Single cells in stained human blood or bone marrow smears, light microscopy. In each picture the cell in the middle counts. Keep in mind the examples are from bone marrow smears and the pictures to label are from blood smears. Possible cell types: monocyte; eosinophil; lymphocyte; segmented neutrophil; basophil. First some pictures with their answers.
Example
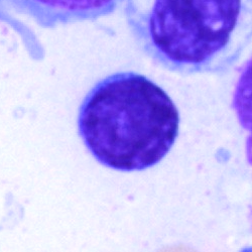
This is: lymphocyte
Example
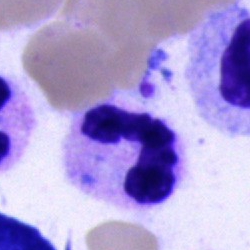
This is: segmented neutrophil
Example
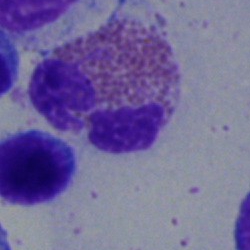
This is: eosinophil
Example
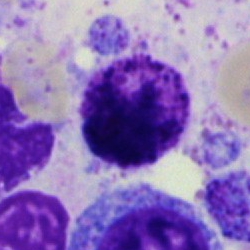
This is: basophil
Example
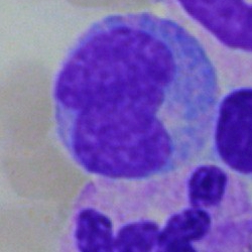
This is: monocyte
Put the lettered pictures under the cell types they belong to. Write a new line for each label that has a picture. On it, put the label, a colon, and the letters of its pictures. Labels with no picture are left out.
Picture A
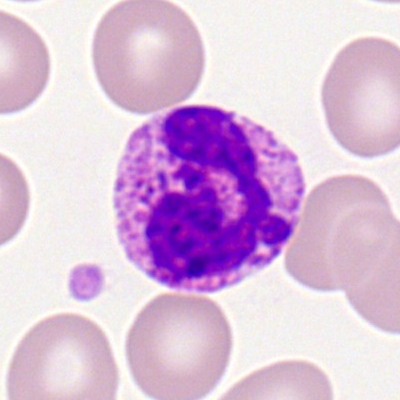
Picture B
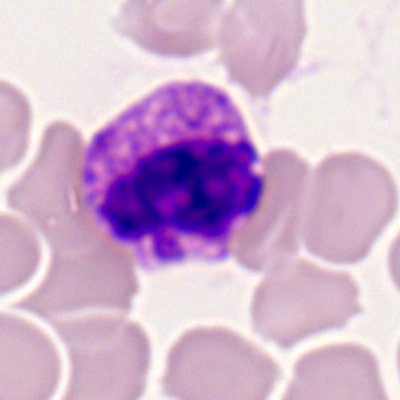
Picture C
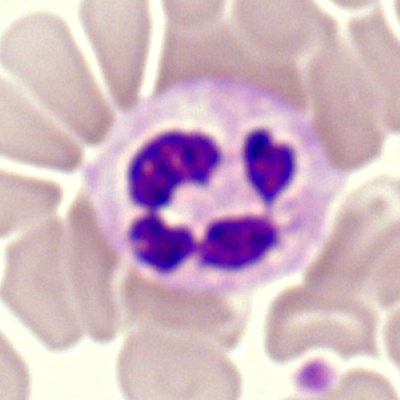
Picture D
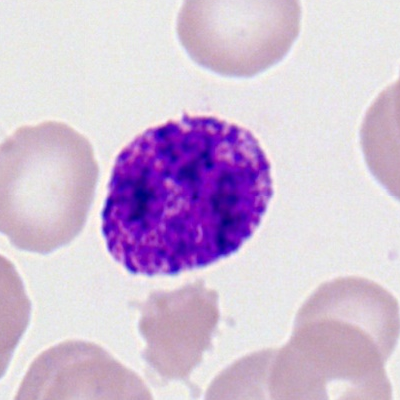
segmented neutrophil: C
basophil: A, B, D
